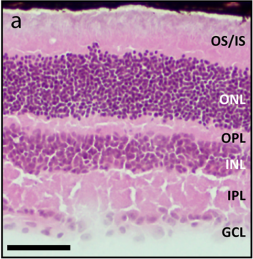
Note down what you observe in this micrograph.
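This is a cross section of retina, layered like a stacked cake of purple and pink bands. A pale, finely striped band sits at one edge, followed by a thick band crowded with small round dark purple nuclei. Beyond it come a thin pink fibrous band, a second narrower band of nuclei, a broader pink fibrous band, and finally a sparse row of larger, paler cells.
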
